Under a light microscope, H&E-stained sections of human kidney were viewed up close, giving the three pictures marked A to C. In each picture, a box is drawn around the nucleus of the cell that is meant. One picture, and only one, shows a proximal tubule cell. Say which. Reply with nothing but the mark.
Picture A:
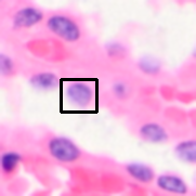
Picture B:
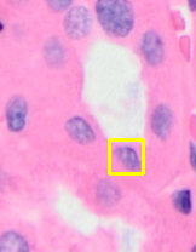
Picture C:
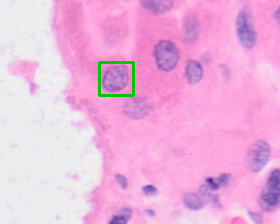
C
